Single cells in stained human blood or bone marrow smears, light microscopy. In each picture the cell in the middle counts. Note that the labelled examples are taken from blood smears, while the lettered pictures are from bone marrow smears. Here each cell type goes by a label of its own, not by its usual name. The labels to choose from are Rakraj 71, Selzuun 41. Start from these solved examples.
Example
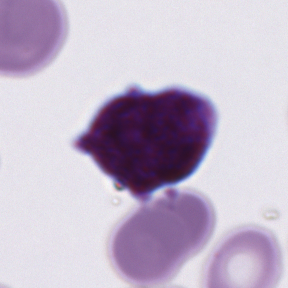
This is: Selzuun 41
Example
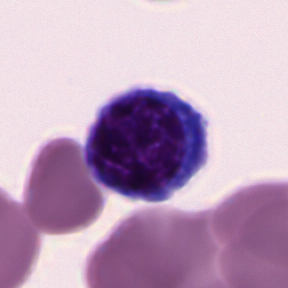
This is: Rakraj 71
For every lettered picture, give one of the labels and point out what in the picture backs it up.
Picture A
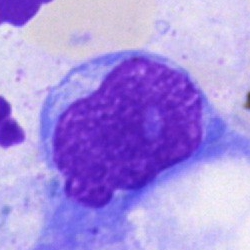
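Label: Selzuun 41. The chromatin is finely stippled, deep purple with many small paler flecks, not coarse blocks.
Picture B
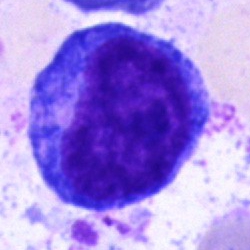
Label: Selzuun 41. The nucleus fills most of the cell and sits toward the right side.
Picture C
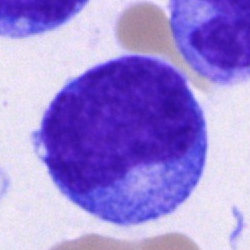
Label: Selzuun 41. The nucleus fills the upper greater part of the cell.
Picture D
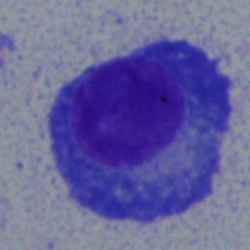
Label: Rakraj 71. The cytoplasm is abundant and stains deep blue.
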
